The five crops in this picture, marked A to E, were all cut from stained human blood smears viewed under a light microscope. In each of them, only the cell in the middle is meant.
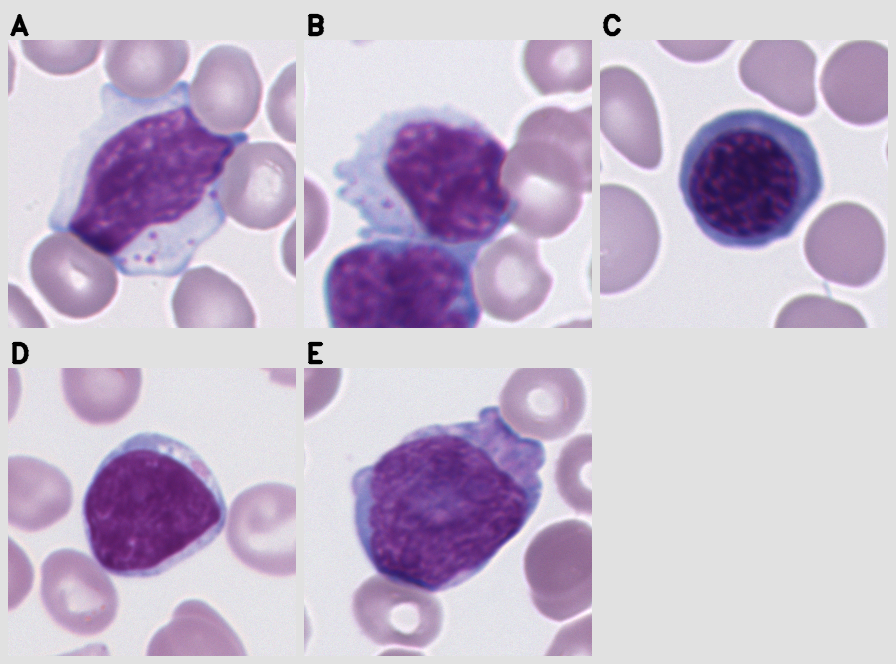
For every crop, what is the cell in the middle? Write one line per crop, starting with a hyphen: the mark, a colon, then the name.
- A: large granular lymphocyte
- B: large granular lymphocyte
- C: normoblast
- D: large granular lymphocyte
- E: promyelocyte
